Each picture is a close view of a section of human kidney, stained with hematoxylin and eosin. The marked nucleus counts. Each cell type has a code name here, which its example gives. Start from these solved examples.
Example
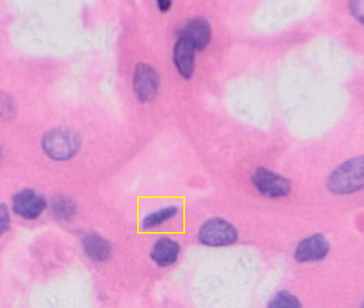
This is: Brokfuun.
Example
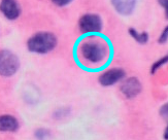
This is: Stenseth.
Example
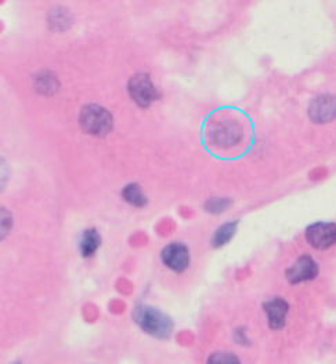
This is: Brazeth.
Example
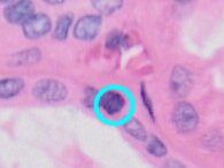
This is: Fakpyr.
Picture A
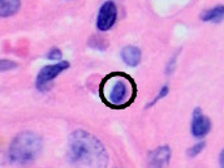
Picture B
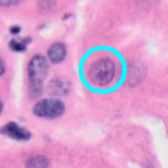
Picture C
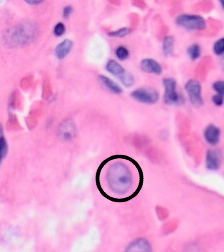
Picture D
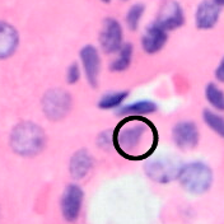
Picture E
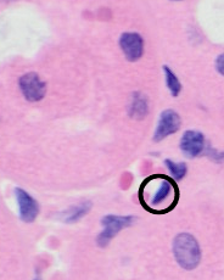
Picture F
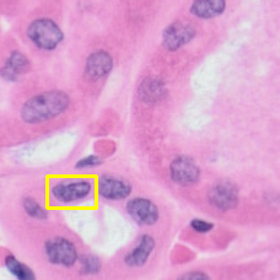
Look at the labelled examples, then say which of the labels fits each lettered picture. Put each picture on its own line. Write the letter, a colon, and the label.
A: Brokfuun.
B: Brazeth.
C: Brazeth.
D: Fakpyr.
E: Brokfuun.
F: Fakpyr.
